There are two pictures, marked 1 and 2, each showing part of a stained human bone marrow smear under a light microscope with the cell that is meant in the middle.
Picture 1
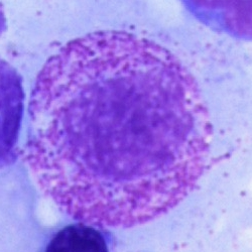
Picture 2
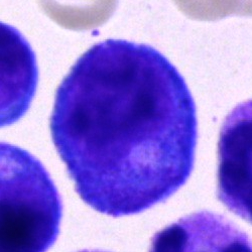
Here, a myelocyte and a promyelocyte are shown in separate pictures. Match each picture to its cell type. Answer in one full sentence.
Picture 2 shows a promyelocyte, while picture 1 shows a myelocyte.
